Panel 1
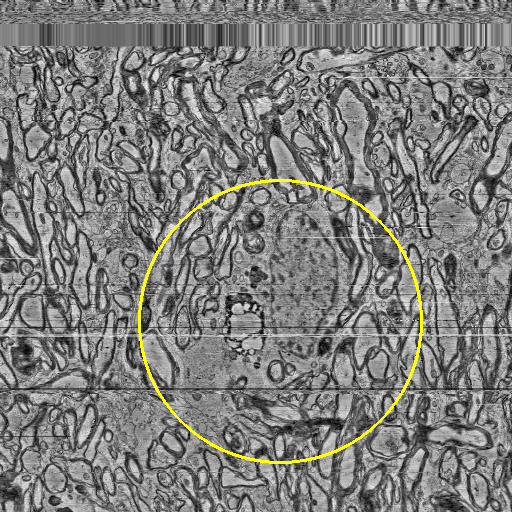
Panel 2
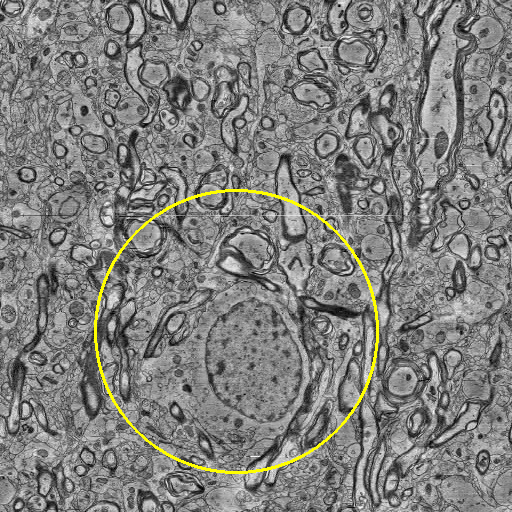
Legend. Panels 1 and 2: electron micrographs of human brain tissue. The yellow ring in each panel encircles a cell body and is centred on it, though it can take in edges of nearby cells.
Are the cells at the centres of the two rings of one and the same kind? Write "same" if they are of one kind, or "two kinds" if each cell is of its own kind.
same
